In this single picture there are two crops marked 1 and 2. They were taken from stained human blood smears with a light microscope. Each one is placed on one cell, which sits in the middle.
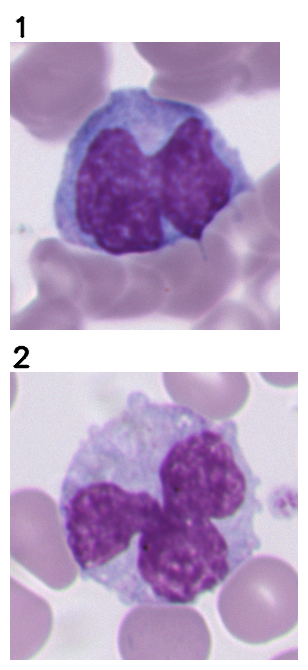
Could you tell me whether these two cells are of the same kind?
yes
